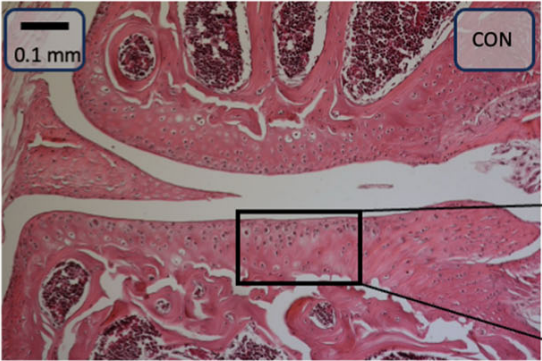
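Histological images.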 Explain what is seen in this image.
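Two opposing layers of cartilage are separated by a clear joint space, and both contain chondrocytes scattered in lacunae within a homogeneous pink matrix. The chondrocytes are small and closely spaced near the surface and larger and more rounded toward the deeper layers. Below and above the cartilage lie spaces filled with densely packed dark red cells, bounded by pink trabeculae.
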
